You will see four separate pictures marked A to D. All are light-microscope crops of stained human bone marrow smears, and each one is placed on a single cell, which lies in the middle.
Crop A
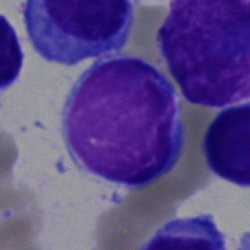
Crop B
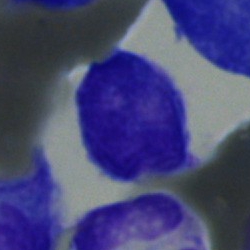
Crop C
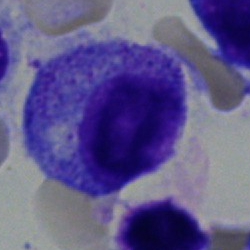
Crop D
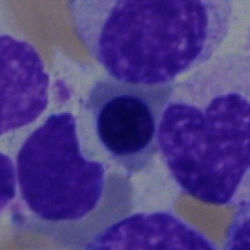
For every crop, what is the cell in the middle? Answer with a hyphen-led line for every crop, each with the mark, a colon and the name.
- A: lymphocyte
- B: blast
- C: myelocyte
- D: normoblast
